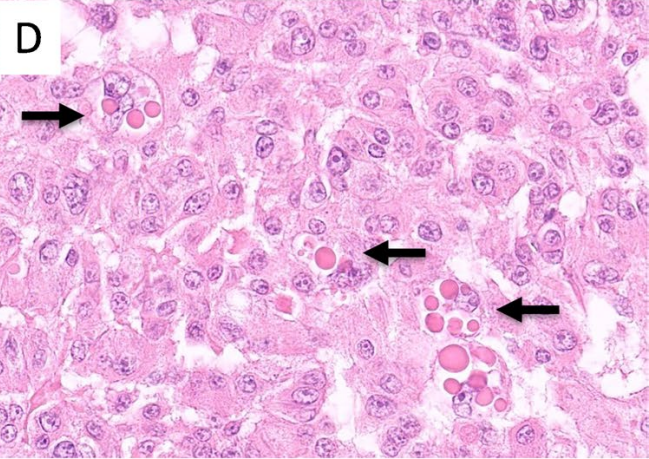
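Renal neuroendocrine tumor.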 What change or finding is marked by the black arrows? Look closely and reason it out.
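Intracytoplasmic eosinophilic inclusions. Round glassy bright pink globules of varied size lie inside cells. The globules sit within cytoplasm beside nuclei.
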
